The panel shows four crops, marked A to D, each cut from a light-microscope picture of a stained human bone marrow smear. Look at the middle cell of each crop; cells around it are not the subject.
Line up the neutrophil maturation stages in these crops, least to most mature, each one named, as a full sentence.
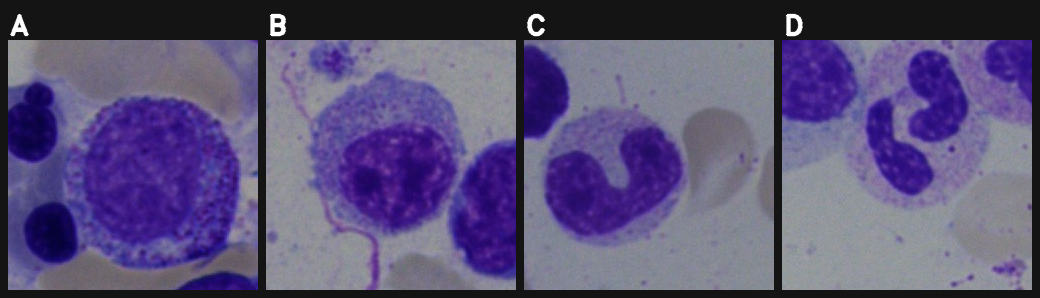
From least to most mature, the order is crop A (a promyelocyte), crop B (a myelocyte), crop C (a band neutrophil) and crop D (a segmented neutrophil).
